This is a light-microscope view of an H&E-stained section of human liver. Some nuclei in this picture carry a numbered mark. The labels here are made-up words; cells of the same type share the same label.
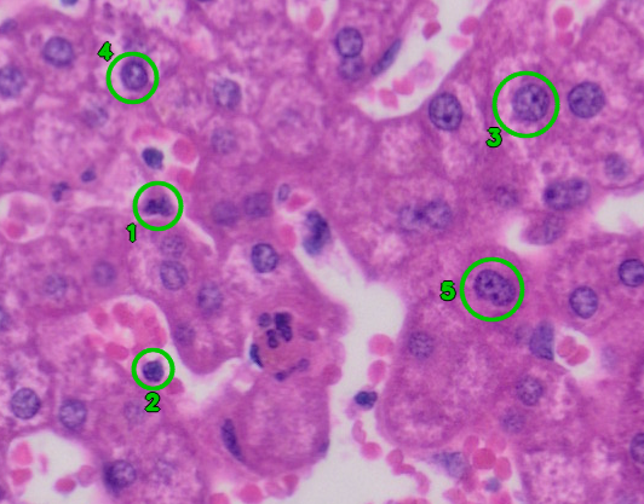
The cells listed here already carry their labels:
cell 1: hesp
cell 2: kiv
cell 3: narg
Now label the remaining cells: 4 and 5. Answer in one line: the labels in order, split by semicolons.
narg; narg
